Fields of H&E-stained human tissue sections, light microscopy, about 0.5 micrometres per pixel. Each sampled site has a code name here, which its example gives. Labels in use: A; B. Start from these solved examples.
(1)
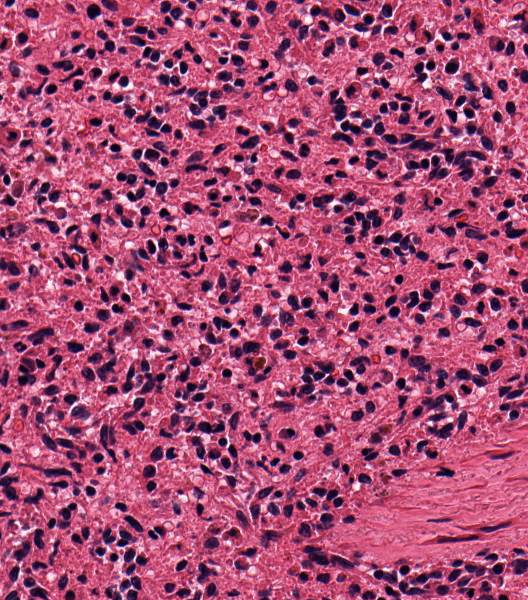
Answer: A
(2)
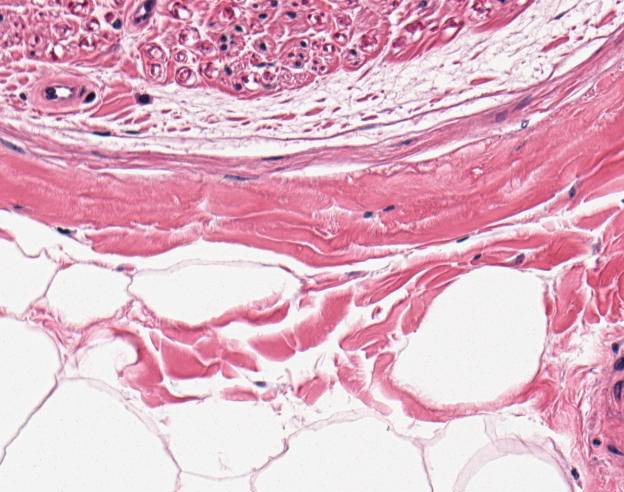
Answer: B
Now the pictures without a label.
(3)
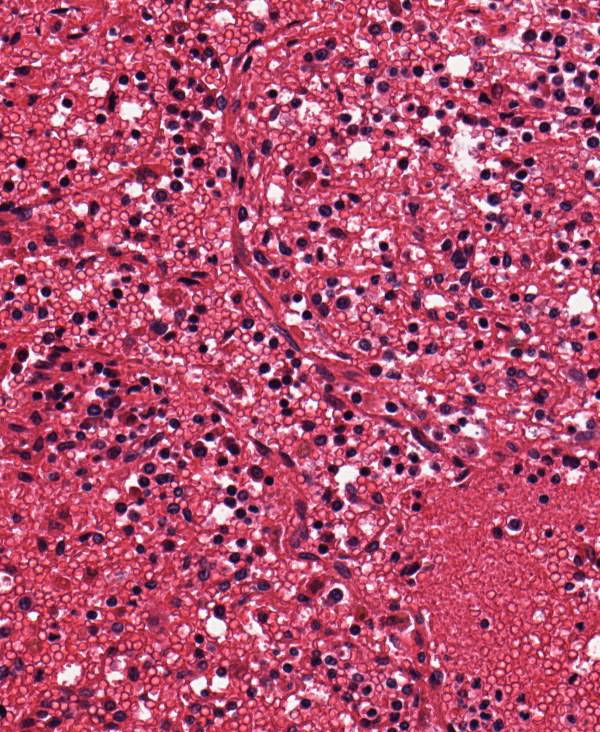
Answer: A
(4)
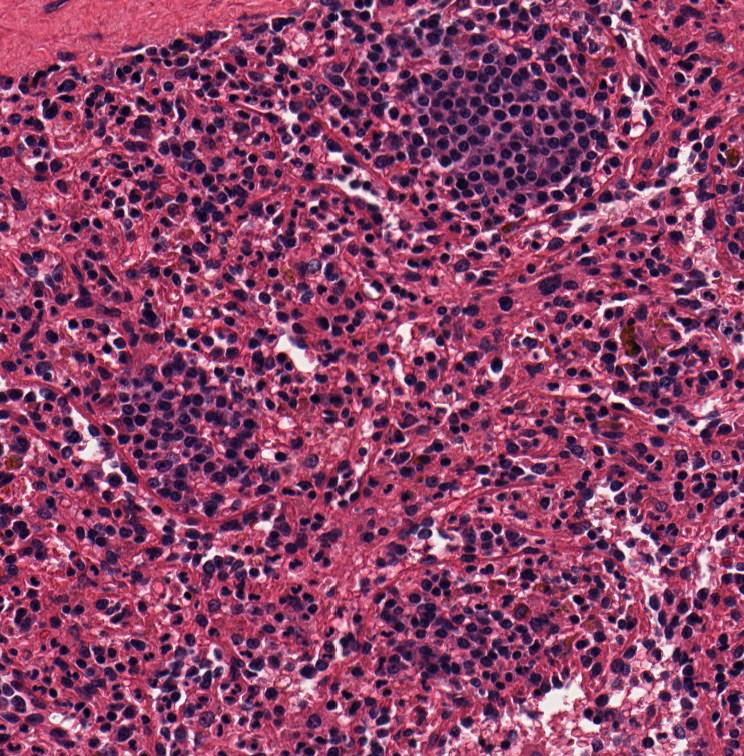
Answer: A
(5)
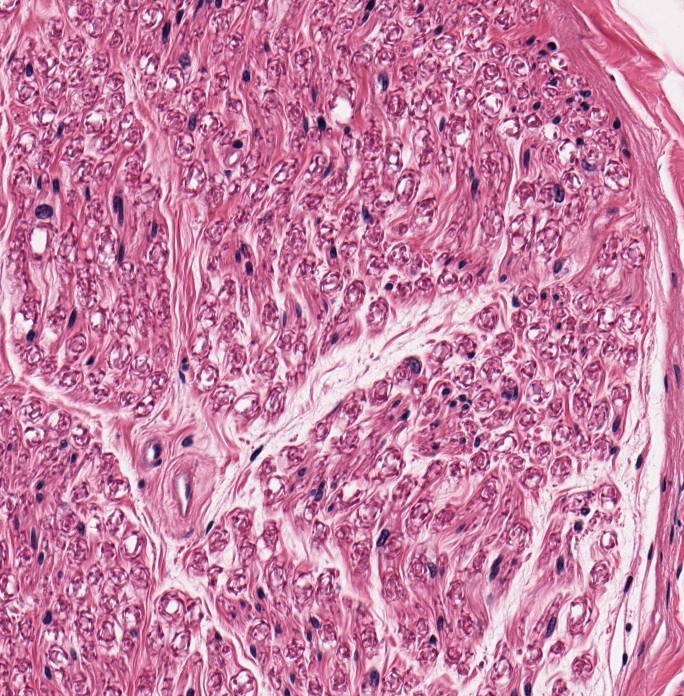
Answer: B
